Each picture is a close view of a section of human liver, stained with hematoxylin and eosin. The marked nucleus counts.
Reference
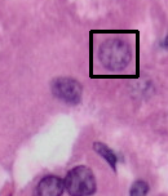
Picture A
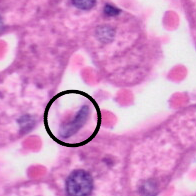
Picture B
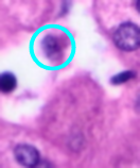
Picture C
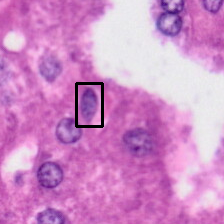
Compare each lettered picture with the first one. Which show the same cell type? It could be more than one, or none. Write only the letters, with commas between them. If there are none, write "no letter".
no letter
